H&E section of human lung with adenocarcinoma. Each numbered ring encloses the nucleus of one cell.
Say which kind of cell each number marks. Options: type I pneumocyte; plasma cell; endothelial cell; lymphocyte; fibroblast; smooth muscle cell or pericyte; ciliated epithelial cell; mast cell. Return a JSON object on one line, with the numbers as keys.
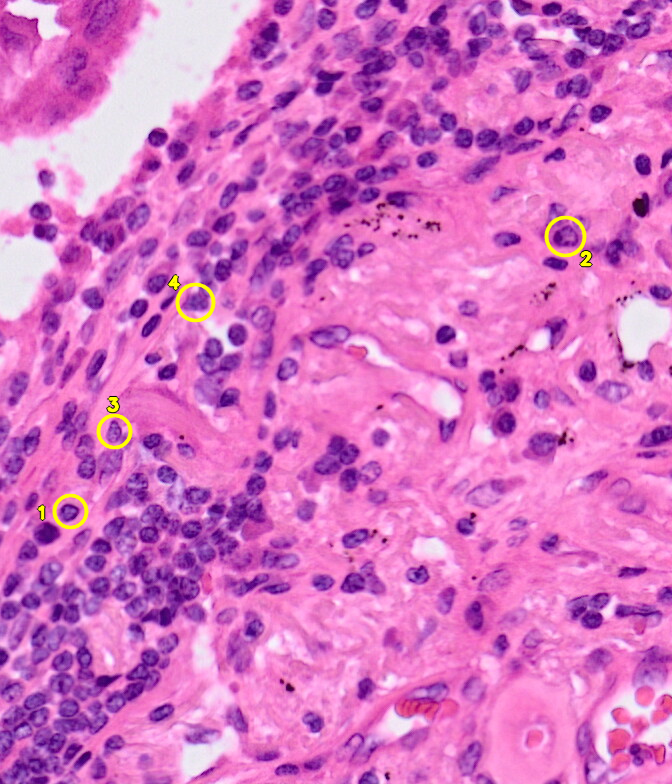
{"1": "lymphocyte", "2": "plasma cell", "3": "lymphocyte", "4": "lymphocyte"}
